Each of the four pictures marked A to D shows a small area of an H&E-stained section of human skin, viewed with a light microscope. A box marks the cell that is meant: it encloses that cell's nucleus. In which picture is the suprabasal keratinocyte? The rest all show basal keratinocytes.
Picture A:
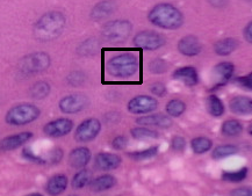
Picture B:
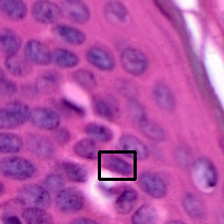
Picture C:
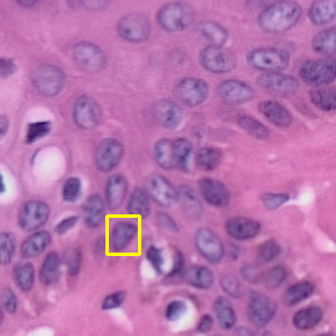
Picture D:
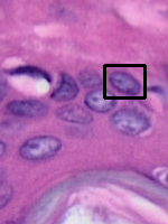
A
